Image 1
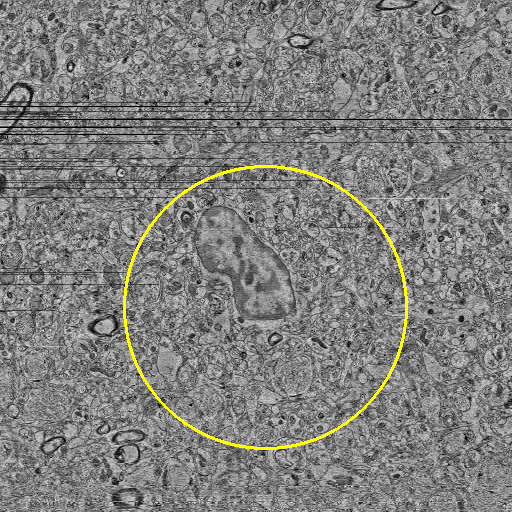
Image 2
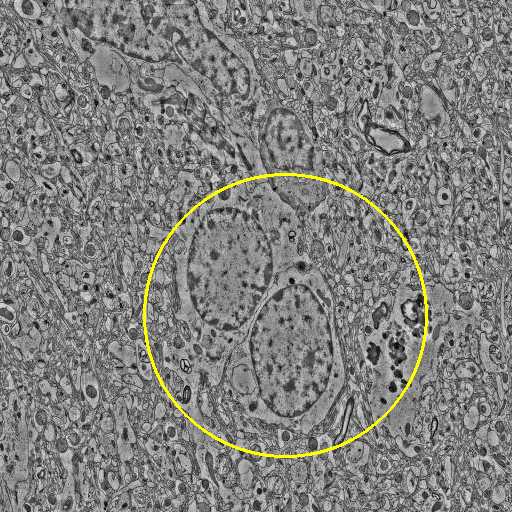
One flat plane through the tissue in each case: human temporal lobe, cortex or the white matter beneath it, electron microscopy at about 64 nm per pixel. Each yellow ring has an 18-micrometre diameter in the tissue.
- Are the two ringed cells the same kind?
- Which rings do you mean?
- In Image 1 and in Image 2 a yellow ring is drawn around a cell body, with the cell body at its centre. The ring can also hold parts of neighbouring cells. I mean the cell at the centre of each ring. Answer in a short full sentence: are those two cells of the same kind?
No, the cells are of two kinds.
